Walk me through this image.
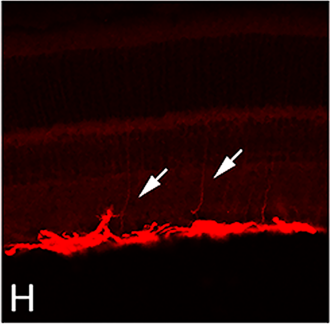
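Vertical section of retina showing the dim outer nuclear layer, a thin outer plexiform band, the inner nuclear layer and the inner plexiform layer above a thick, irregular bright red band along the inner surface. This band is clumped and raises short branching processes. A few thin red fibers extend vertically from it into the inner plexiform layer, while the outer layers carry only faint background label.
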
